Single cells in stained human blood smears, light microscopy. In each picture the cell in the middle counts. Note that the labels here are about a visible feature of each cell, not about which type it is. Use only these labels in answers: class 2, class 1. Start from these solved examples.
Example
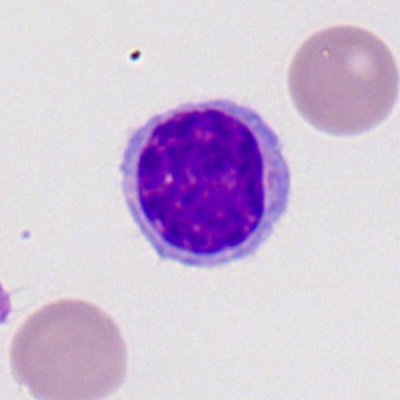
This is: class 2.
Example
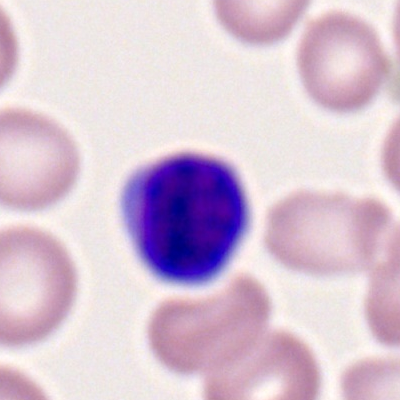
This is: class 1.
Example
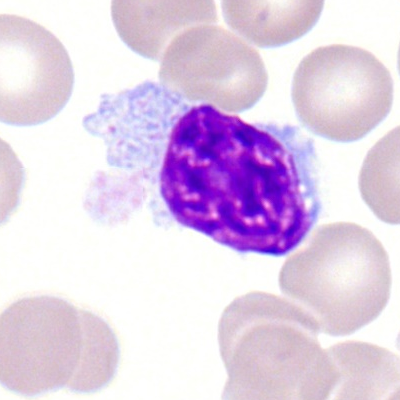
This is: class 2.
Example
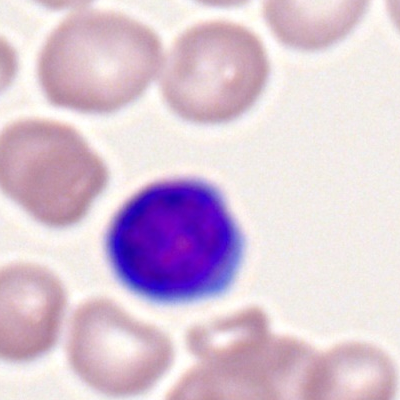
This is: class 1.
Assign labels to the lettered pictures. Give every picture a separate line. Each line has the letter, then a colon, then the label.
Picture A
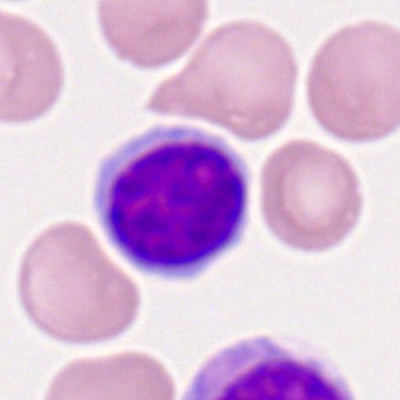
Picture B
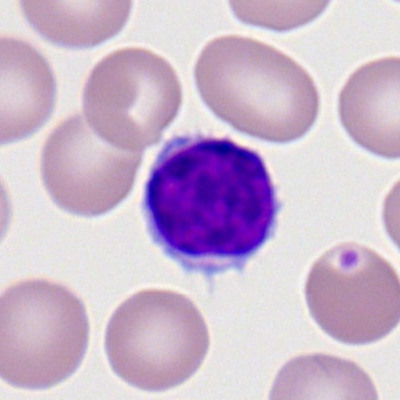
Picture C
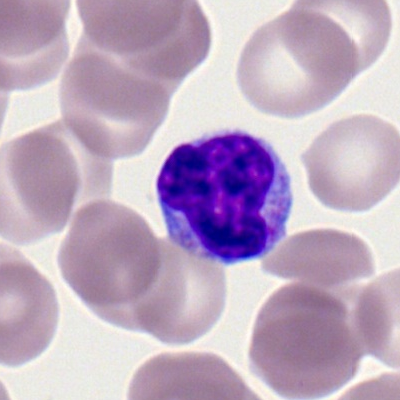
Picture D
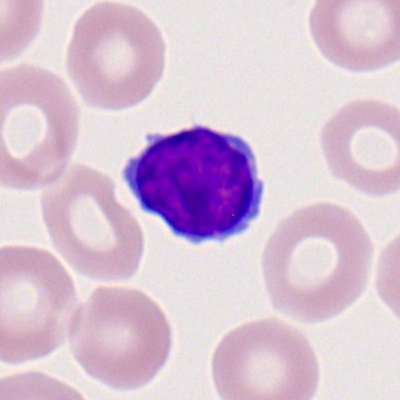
A: class 1.
B: class 2.
C: class 1.
D: class 2.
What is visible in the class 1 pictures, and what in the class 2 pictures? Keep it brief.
class 1: smooth outline; class 2: ragged outline or projections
